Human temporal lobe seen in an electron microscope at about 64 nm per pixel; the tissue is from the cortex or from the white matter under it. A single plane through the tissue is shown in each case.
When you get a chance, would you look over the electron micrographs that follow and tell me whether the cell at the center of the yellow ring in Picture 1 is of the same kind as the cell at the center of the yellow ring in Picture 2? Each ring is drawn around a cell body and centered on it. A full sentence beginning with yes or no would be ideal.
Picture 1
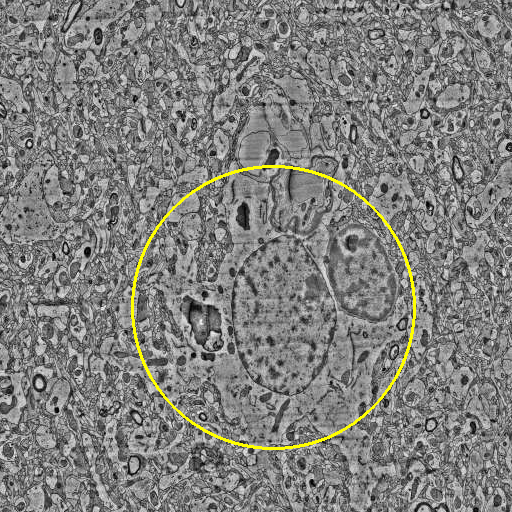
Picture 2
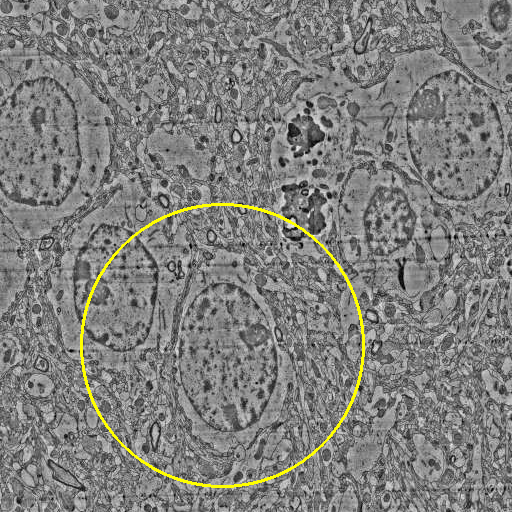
Yes, the two cells are of the same kind.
